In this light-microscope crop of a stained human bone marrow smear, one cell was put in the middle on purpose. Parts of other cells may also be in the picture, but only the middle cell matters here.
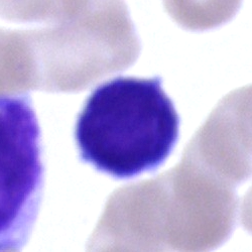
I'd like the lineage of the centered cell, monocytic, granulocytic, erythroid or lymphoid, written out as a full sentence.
The central cell's lineage is lymphoid.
